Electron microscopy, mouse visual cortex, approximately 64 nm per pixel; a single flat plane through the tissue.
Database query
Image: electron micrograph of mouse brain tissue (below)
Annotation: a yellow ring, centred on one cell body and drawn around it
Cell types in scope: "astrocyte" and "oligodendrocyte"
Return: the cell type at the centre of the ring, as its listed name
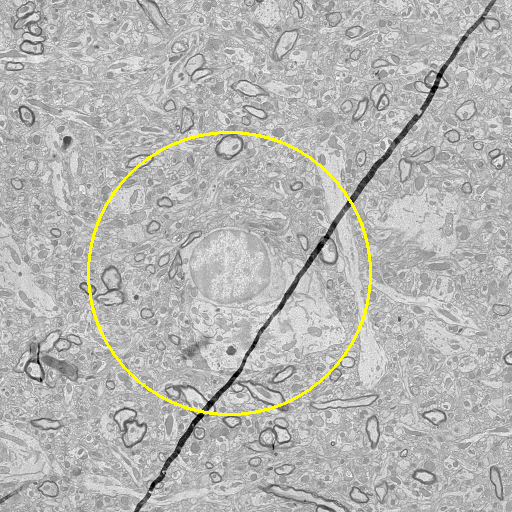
oligodendrocyte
